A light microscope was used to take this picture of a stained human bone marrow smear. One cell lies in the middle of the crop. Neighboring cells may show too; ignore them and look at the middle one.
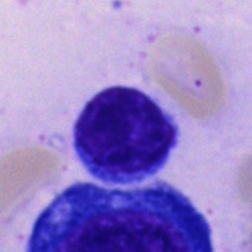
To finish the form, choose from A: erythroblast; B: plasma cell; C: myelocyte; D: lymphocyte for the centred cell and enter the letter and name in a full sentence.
Option D gets it right: the cell in the middle is a lymphocyte.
